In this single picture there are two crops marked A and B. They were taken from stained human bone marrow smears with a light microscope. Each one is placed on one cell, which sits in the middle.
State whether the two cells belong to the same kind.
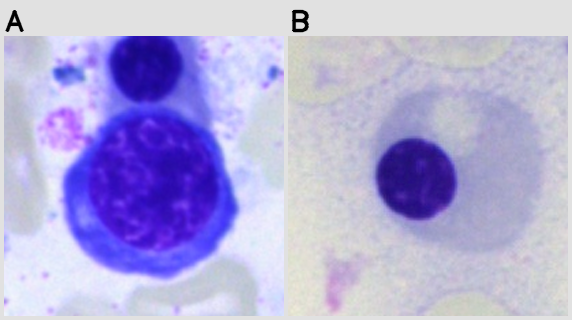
yes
